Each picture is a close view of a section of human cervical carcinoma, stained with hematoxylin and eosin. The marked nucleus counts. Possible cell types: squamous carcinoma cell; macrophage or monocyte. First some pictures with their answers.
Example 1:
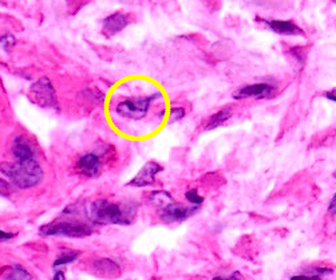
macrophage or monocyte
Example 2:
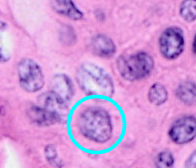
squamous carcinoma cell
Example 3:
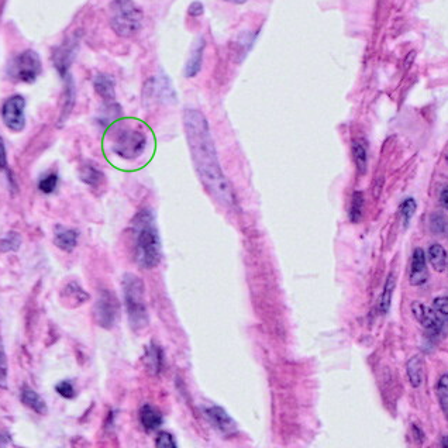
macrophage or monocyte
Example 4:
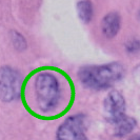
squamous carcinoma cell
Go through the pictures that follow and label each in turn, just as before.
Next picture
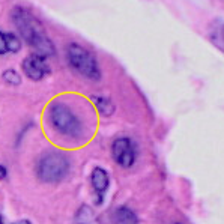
squamous carcinoma cell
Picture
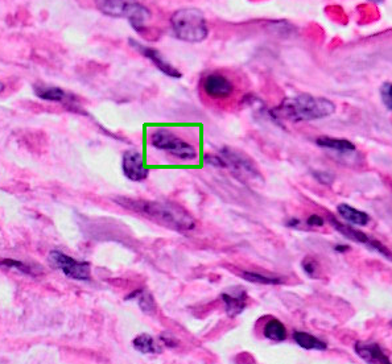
macrophage or monocyte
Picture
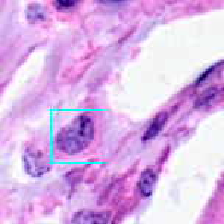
macrophage or monocyte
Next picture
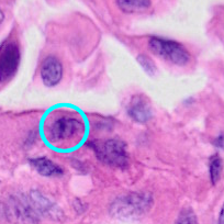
squamous carcinoma cell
